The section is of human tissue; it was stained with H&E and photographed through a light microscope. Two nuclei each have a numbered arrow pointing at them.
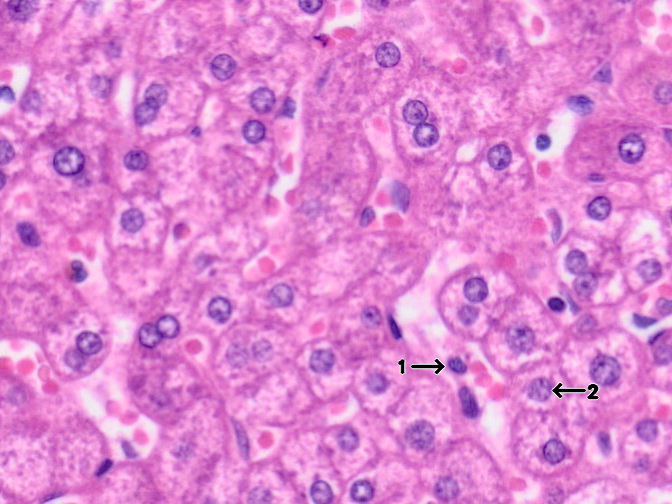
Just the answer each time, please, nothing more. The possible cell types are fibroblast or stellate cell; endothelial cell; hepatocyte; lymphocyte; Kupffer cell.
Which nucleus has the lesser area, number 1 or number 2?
1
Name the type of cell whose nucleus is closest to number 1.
Kupffer cell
